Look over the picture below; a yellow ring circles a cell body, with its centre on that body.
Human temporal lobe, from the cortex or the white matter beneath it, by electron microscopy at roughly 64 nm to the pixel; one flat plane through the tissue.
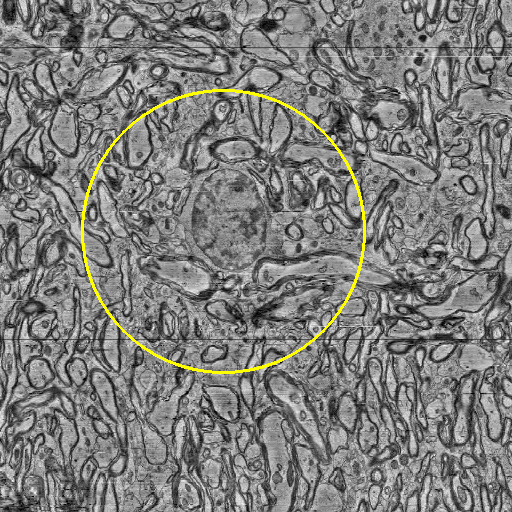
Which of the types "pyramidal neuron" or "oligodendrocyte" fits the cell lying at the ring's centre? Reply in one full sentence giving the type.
The picture shows an oligodendrocyte at the centre of the yellow ring.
